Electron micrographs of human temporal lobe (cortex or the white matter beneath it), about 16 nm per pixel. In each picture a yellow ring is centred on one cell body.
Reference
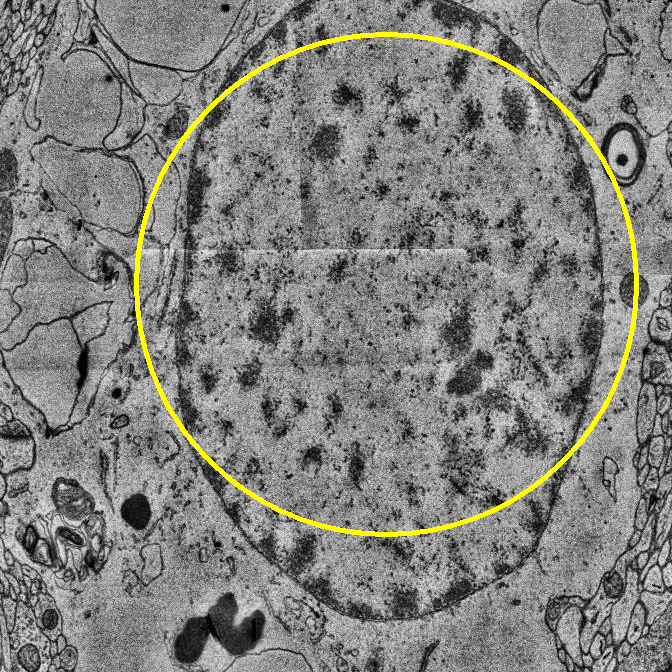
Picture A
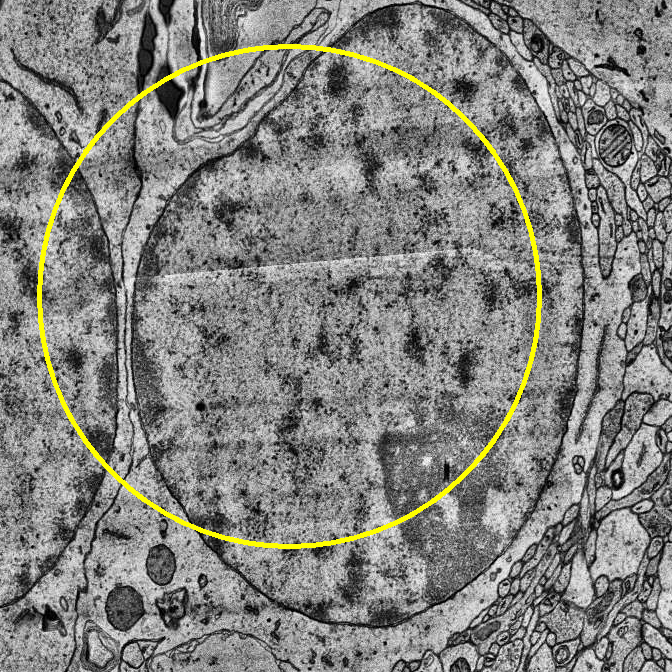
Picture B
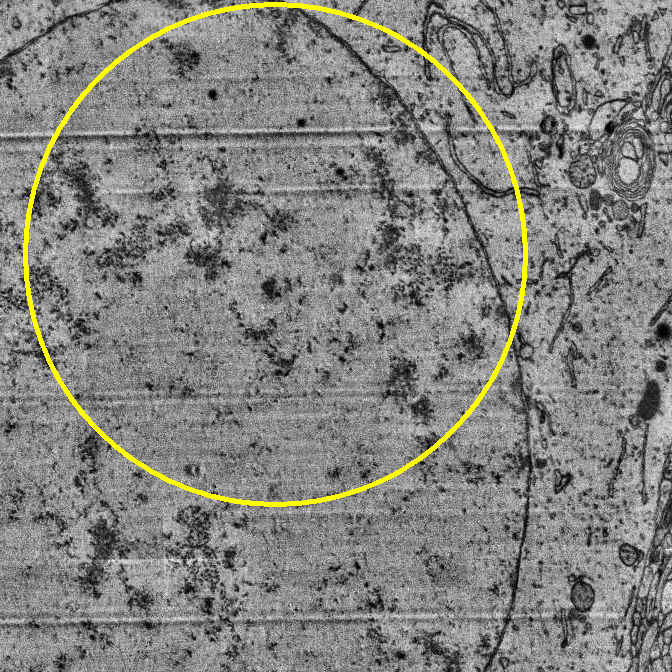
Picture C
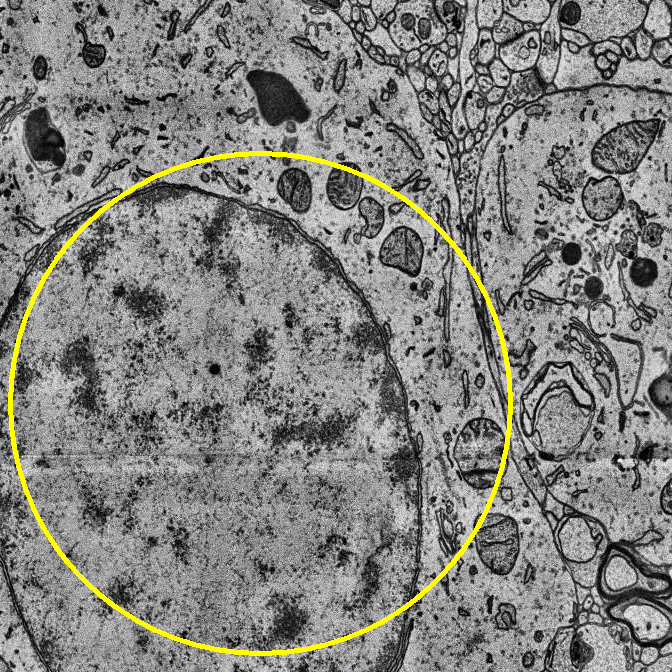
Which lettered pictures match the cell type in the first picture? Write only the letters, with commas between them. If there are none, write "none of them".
A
